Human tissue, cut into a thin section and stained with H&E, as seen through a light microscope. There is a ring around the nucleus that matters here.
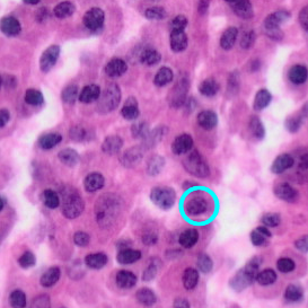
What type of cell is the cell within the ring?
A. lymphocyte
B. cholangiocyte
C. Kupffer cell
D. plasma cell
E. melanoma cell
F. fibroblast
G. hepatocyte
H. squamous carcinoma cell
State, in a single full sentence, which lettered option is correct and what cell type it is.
Here the correct option is D, since the cell within the ring is a plasma cell.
